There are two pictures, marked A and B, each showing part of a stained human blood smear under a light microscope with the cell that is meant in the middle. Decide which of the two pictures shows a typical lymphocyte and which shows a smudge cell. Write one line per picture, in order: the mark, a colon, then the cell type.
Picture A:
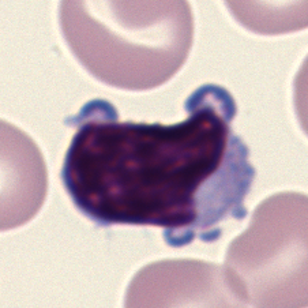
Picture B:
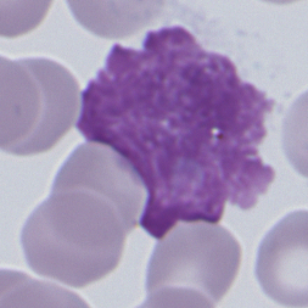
A: typical lymphocyte
B: smudge cell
